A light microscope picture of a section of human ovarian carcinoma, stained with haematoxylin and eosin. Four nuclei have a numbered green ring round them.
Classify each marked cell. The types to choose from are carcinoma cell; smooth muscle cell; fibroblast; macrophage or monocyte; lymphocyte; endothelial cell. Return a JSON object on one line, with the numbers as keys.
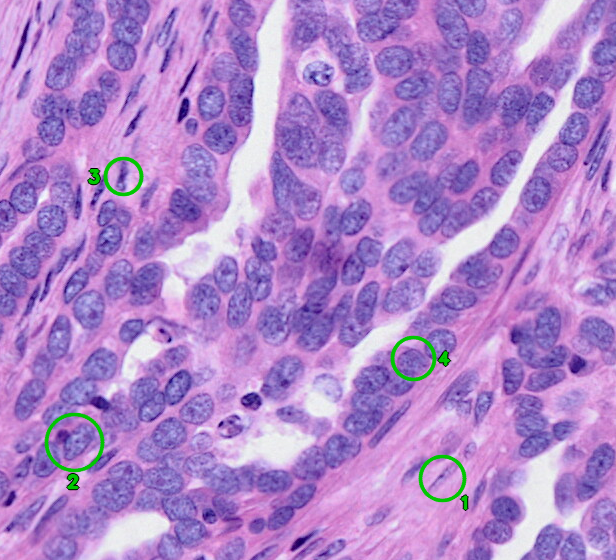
{"1": "fibroblast", "2": "carcinoma cell", "3": "fibroblast", "4": "carcinoma cell"}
